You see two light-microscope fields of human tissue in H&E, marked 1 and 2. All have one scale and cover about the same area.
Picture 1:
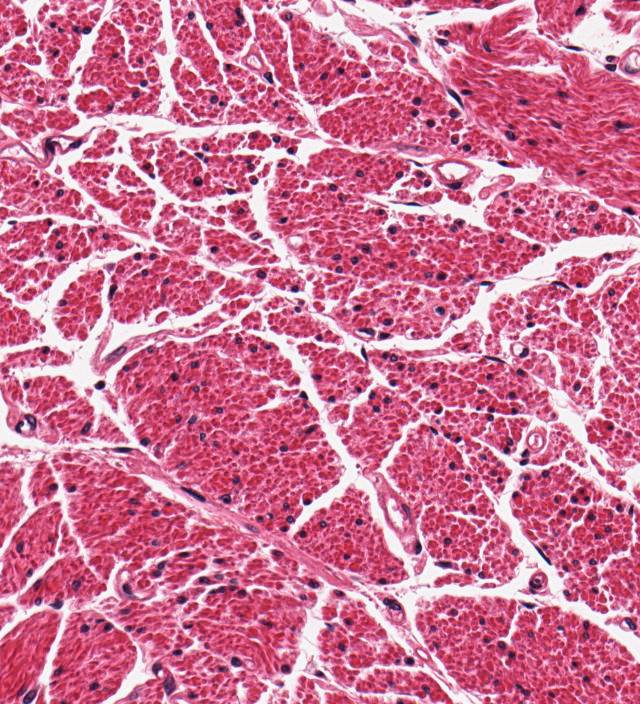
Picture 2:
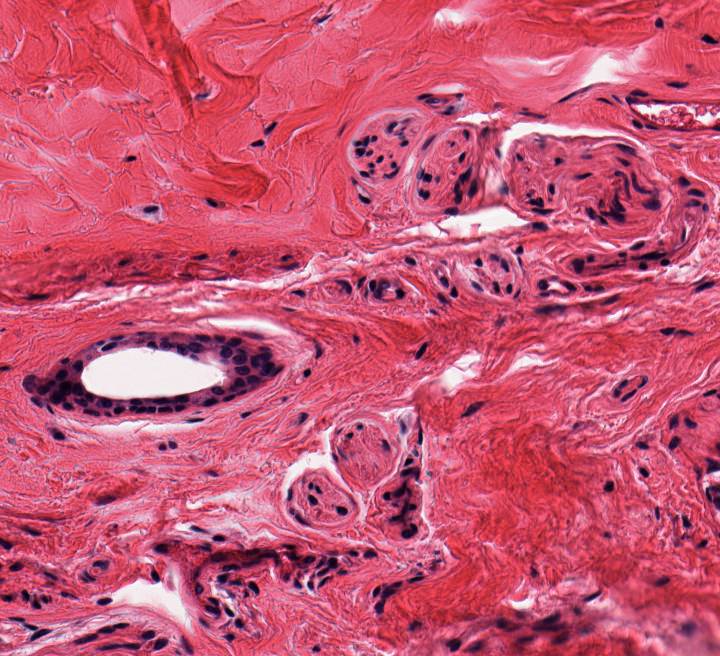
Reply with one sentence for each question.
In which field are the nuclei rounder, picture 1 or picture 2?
On the whole the nuclei of picture 1 are rounder than those of picture 2.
